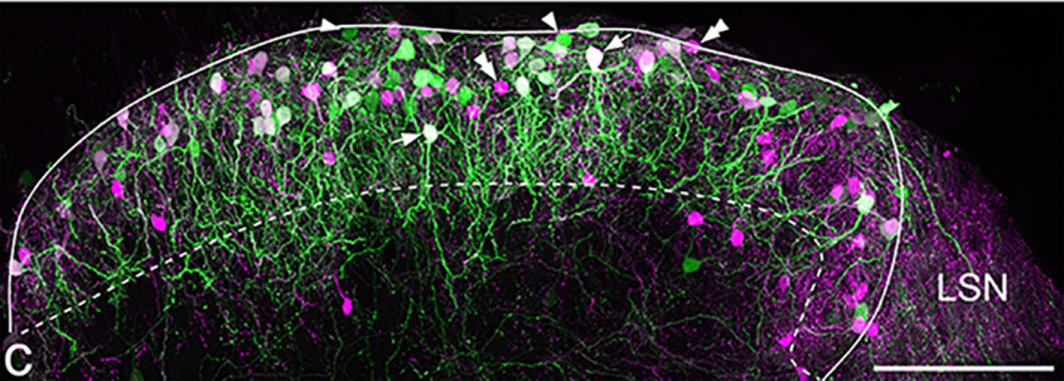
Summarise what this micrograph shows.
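This merged image shows neurons of the superficial dorsal horn of the spinal cord. Cell bodies appear white where magenta and green overlap, and others are purely green or purely magenta. They are concentrated in a band between the outer edge of the grey matter, marked by a solid line, and a dashed line running parallel to the surface beneath it. Green dendrites extend downward past the dashed line into the deeper dorsal horn. Lateral to the grey matter lies a zone with fine labelled fibres but few cell bodies.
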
